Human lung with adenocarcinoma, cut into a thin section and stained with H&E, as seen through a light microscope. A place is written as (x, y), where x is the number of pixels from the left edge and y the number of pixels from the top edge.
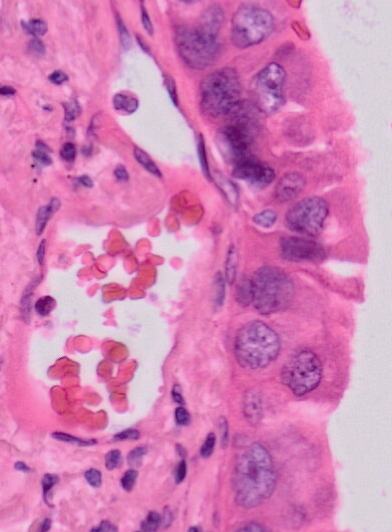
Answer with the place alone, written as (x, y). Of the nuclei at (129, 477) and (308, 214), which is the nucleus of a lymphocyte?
(129, 477)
